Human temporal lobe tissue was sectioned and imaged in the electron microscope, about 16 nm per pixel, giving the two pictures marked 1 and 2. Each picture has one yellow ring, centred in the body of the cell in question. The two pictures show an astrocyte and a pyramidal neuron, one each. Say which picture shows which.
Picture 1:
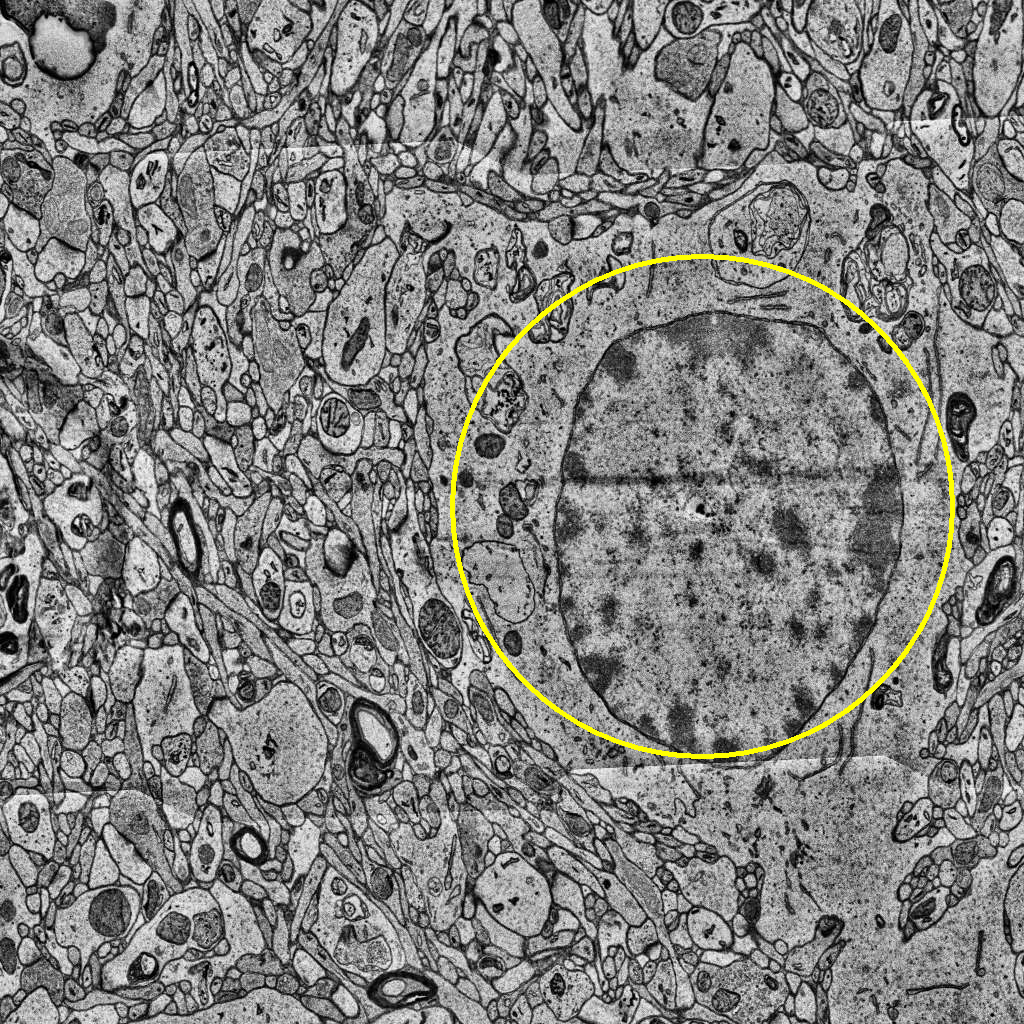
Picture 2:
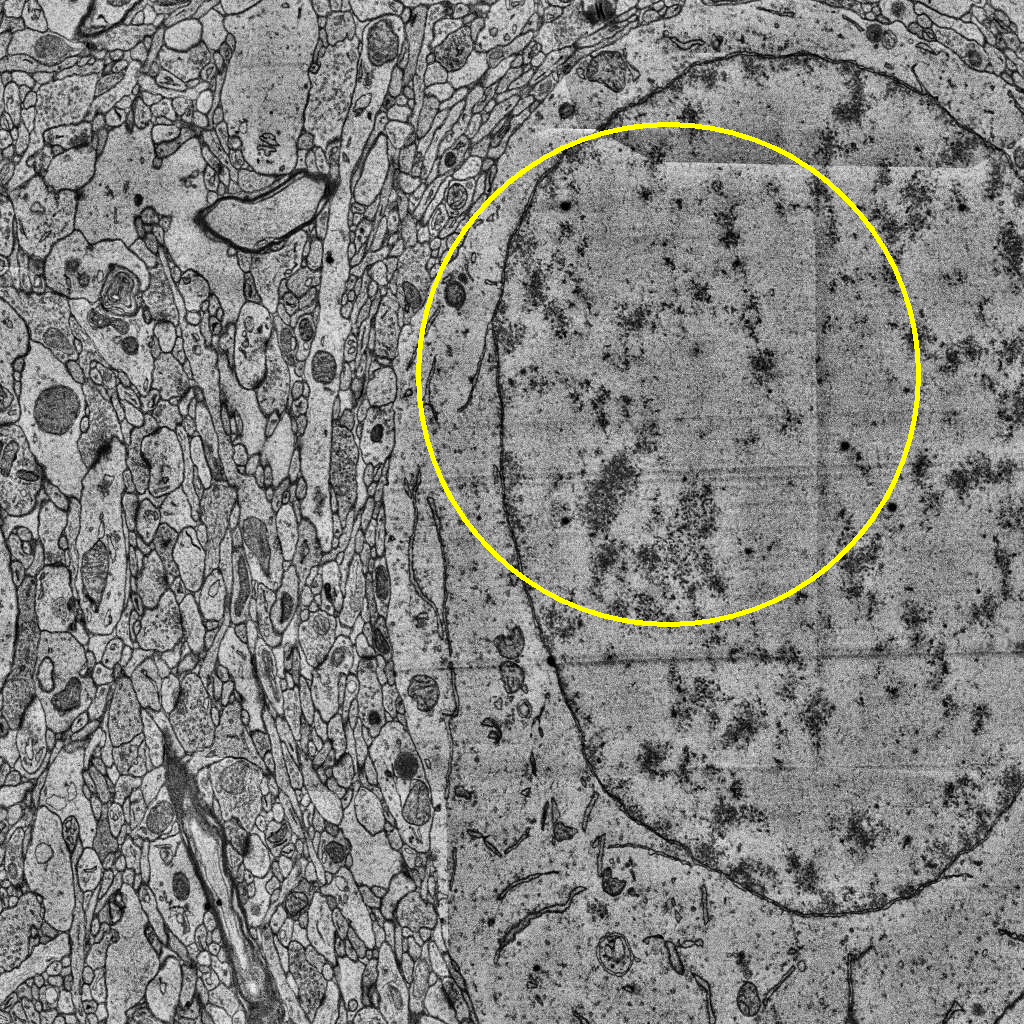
It is picture 1 that shows an astrocyte, and picture 2 that shows a pyramidal neuron.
